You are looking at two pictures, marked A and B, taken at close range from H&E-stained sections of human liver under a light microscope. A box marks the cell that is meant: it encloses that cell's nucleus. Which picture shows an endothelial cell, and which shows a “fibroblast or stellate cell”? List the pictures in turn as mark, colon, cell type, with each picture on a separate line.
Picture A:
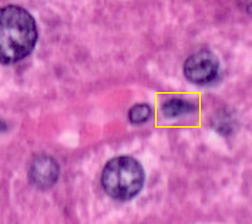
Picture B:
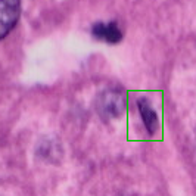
A: fibroblast or stellate cell
B: endothelial cell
